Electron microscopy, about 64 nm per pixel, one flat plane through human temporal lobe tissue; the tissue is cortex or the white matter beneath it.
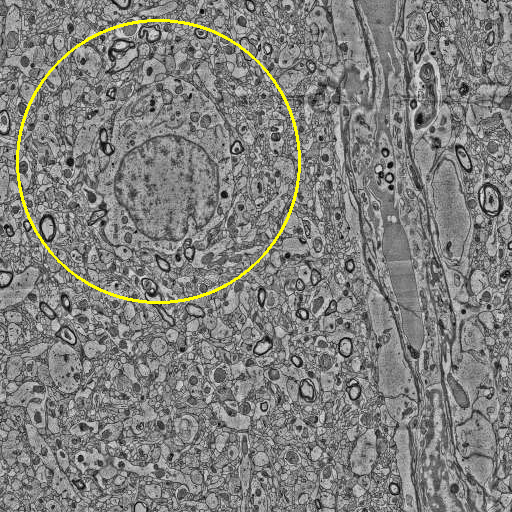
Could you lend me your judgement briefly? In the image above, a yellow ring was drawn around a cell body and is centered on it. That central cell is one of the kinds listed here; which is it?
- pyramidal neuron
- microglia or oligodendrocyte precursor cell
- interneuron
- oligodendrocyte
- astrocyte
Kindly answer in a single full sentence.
Going by the list, an interneuron is the kind at the ring's center in the picture.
